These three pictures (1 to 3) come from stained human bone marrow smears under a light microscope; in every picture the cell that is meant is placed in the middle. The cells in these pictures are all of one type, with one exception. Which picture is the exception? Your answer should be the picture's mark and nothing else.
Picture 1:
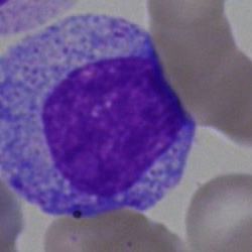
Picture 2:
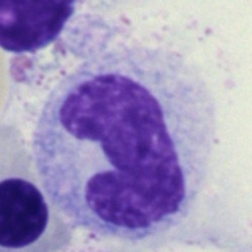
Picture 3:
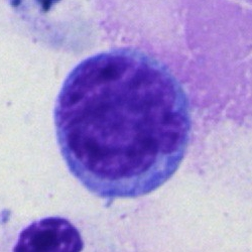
1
